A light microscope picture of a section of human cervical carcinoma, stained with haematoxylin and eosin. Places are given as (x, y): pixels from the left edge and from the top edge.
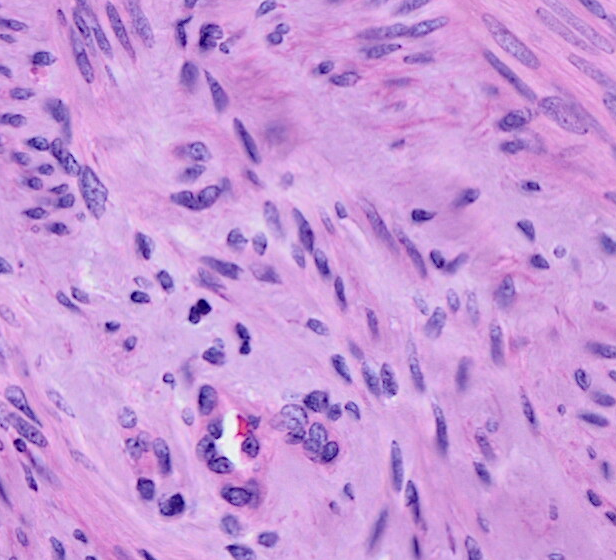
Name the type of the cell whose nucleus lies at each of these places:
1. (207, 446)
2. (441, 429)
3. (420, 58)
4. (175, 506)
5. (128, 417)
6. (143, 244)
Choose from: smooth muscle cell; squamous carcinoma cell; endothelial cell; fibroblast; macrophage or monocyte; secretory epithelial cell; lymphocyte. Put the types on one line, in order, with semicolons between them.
endothelial cell; fibroblast; smooth muscle cell; lymphocyte; smooth muscle cell; fibroblast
